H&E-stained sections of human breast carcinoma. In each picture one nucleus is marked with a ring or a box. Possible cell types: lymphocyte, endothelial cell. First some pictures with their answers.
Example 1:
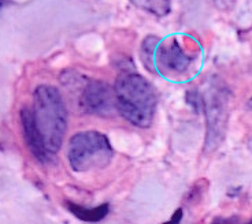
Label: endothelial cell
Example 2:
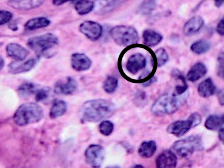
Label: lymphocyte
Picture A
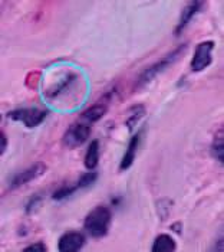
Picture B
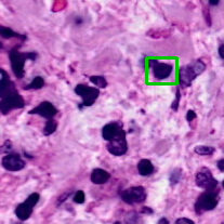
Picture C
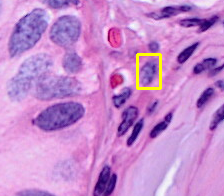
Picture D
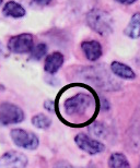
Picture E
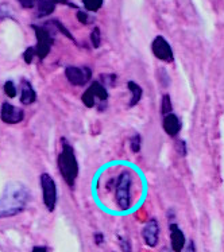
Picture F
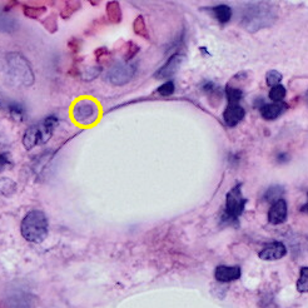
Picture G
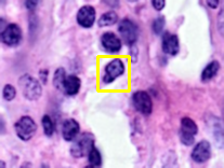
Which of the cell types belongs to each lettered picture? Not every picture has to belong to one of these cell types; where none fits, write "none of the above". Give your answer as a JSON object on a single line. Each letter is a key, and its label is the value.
{"A": "endothelial cell", "B": "lymphocyte", "C": "endothelial cell", "D": "lymphocyte", "E": "endothelial cell", "F": "endothelial cell", "G": "lymphocyte"}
